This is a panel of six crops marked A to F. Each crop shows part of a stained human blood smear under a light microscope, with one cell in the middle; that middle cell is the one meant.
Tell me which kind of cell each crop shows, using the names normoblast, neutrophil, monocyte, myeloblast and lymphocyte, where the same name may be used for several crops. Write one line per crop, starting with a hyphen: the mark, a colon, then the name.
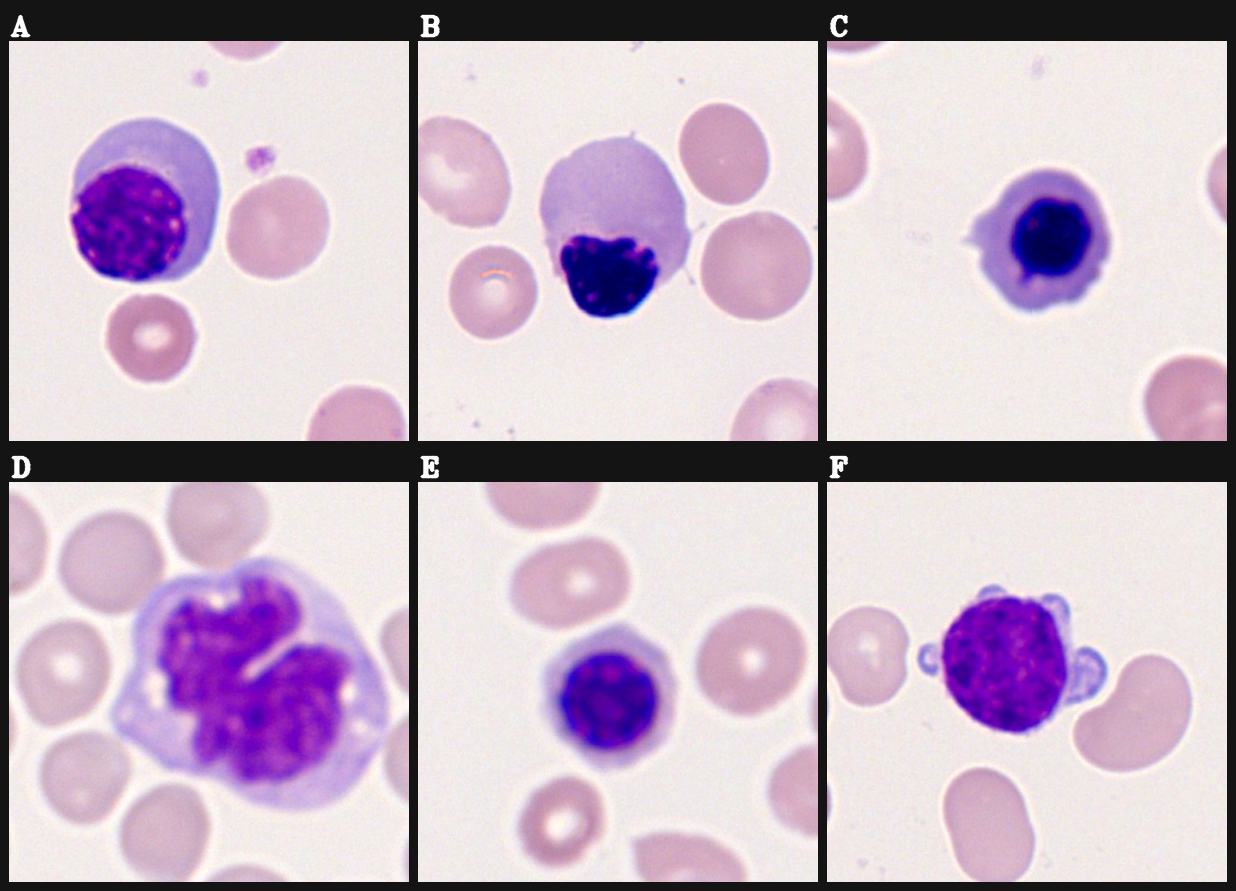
- A: normoblast
- B: normoblast
- C: normoblast
- D: monocyte
- E: normoblast
- F: lymphocyte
